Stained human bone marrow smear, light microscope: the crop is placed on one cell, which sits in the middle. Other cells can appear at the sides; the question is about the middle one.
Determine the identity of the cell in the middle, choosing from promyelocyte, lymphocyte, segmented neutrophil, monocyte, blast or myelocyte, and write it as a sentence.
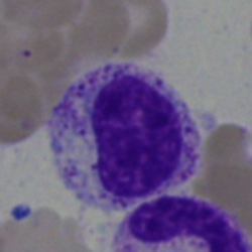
In the centre of this crop there is a myelocyte.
